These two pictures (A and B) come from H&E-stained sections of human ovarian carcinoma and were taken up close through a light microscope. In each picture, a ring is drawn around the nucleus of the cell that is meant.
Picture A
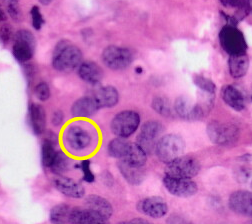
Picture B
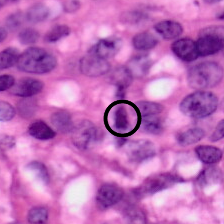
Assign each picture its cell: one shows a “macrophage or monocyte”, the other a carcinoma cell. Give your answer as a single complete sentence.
The cell in picture A is a “macrophage or monocyte”, and the one in picture B is a carcinoma cell.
